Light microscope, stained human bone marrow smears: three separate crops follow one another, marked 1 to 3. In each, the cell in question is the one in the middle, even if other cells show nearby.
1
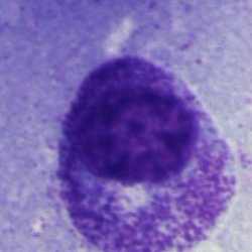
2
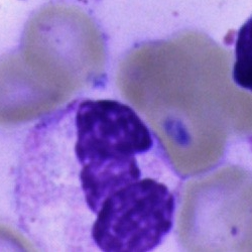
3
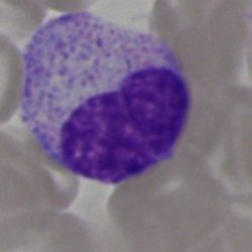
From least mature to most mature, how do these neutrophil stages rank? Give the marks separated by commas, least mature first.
1, 3, 2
